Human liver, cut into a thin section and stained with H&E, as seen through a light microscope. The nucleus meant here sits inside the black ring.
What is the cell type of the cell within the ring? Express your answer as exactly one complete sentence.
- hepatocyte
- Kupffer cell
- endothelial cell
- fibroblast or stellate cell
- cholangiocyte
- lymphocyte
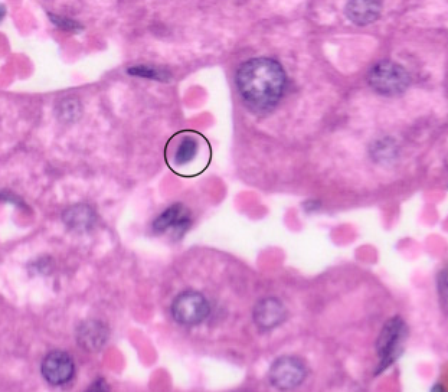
As a matter of cell type, the cell within the ring is a lymphocyte.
